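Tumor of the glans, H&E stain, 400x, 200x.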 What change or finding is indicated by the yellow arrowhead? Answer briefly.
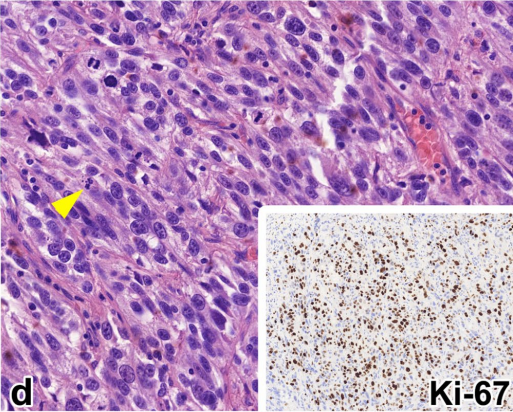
atypical cell divisions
